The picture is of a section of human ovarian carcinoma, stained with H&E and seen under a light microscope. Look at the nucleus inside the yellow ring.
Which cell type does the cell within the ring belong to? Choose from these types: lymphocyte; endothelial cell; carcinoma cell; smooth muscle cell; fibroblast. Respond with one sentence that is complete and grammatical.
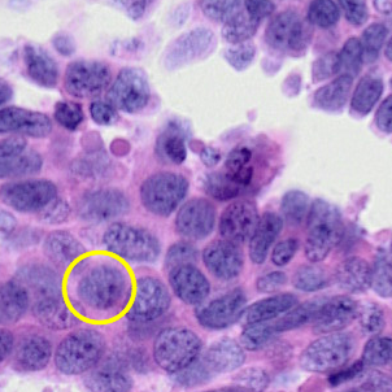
It is as a carcinoma cell that the cell within the ring is classified.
